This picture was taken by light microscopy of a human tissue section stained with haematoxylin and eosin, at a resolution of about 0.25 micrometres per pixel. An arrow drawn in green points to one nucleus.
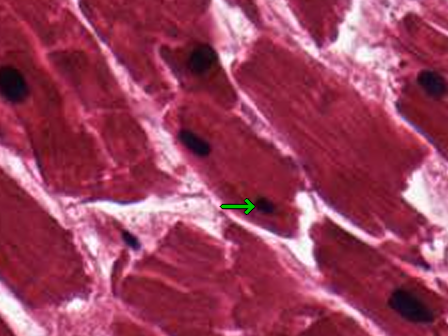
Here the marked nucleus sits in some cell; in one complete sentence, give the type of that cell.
The nucleus with the mark belongs to a cardiomyocyte.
